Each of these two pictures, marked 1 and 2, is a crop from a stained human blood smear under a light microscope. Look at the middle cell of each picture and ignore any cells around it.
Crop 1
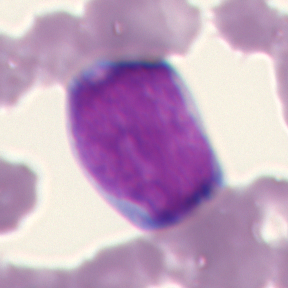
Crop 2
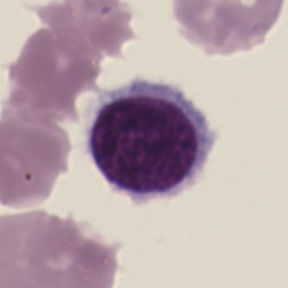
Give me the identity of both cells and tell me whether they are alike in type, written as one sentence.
No, crop 1 offers a myeloblast, while crop 2 offers a hairy cell.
